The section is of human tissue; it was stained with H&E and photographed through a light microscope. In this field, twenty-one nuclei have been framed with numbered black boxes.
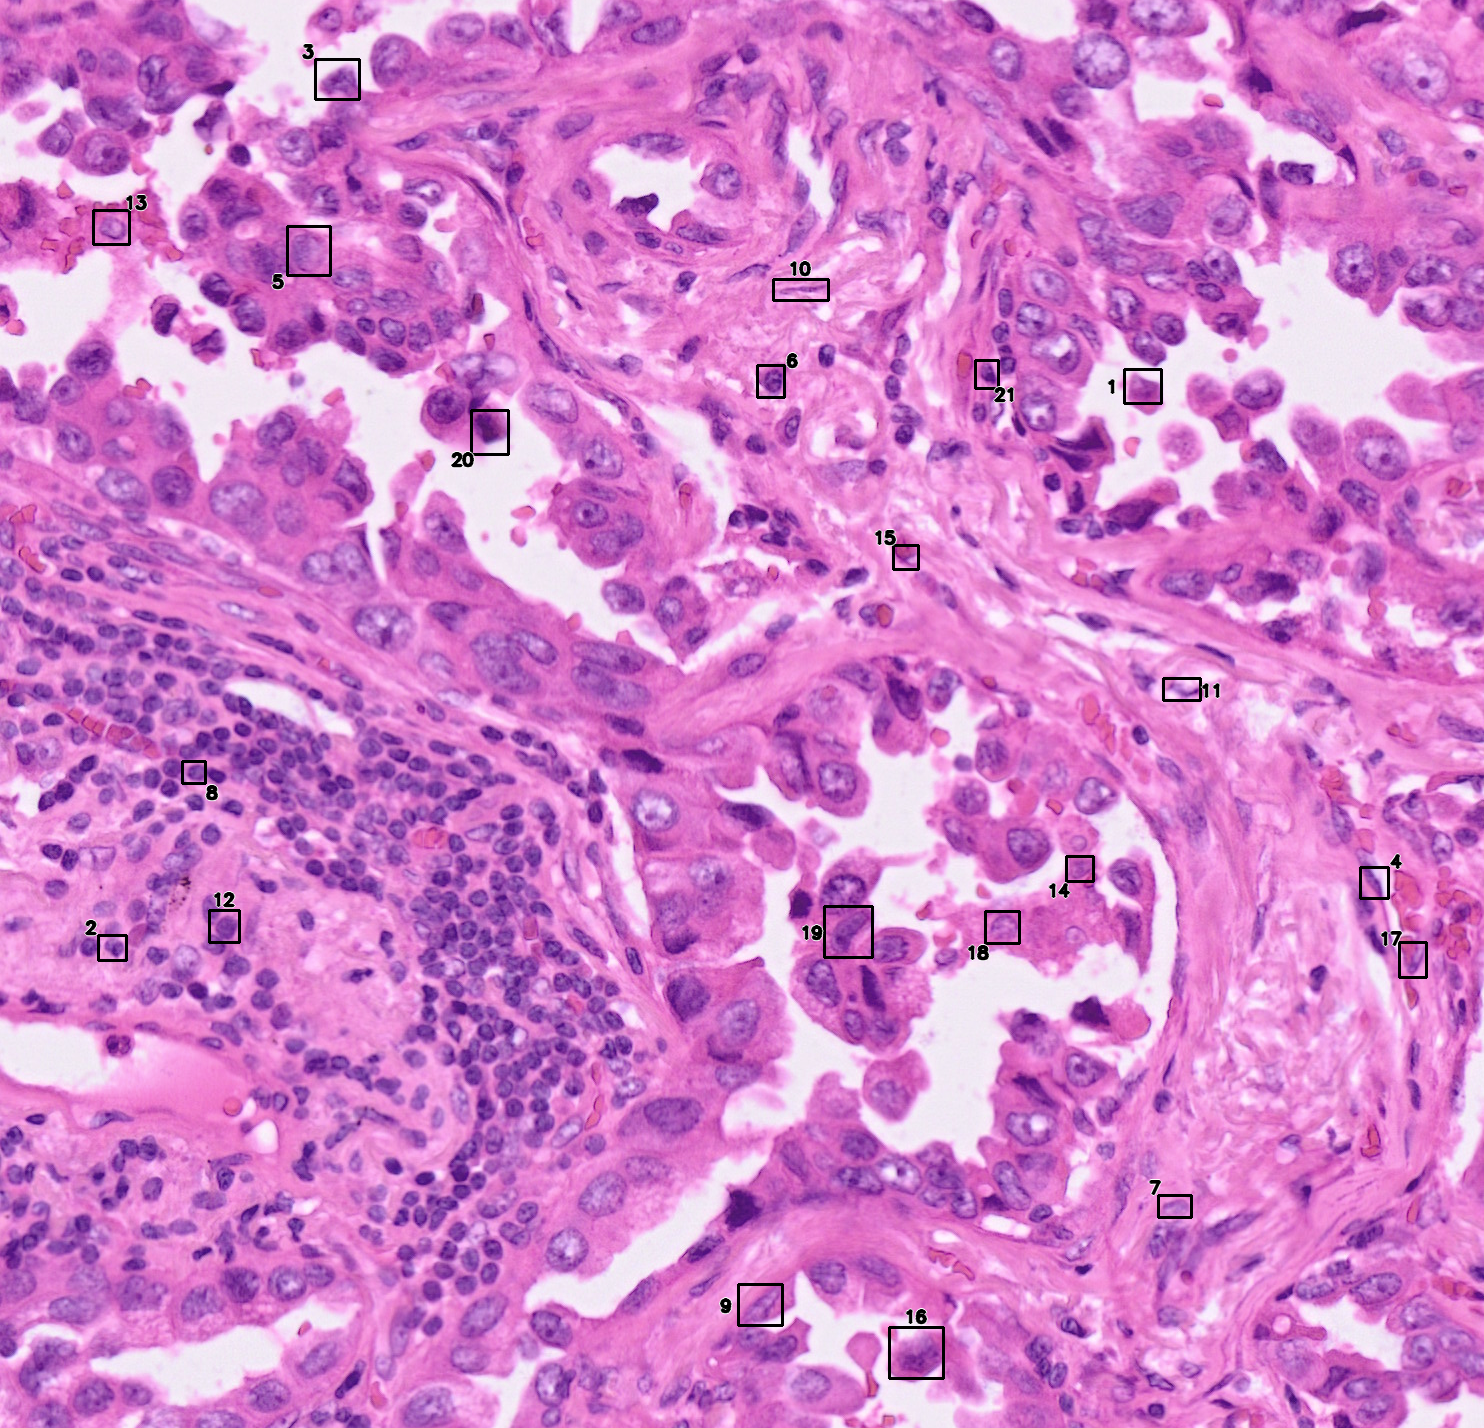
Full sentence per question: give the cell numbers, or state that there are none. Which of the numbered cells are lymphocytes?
In terms of cell type, cells 2, 8, 12 and 21 are lymphocytes.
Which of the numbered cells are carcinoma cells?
By cell type, the cells numbered 1, 3, 5, 9, 16, 19 and 20 are carcinoma cells.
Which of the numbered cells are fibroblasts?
The cells the numbers 10 and 11 point to are fibroblasts.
